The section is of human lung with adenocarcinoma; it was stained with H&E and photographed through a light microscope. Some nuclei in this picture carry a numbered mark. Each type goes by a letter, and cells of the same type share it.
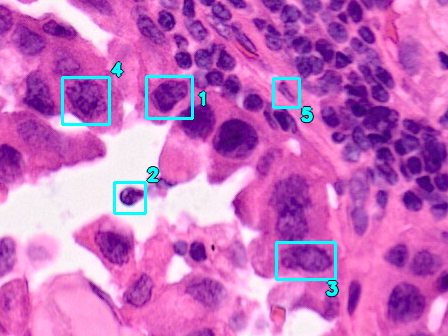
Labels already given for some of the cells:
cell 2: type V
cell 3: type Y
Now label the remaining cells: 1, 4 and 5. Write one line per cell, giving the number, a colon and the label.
1: type Y
4: type Y
5: type V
